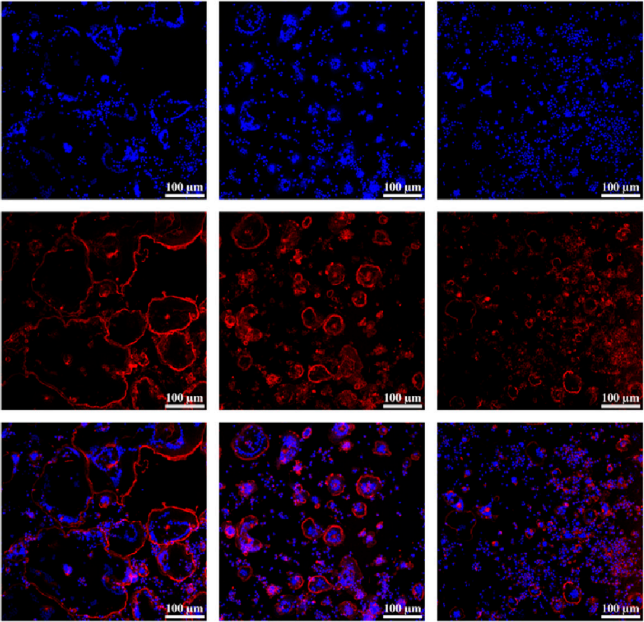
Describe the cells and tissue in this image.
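The red forms sharp, closed rings along the margins of the large cells, and inside these rings clusters of many blue nuclei can be seen, showing that each big cell holds several nuclei. Around them lie many small cells with a single blue nucleus each. In the left column the rings are very large and irregular, while toward the right they become smaller and rounder, and at the far right most cells are small and few rings remain.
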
